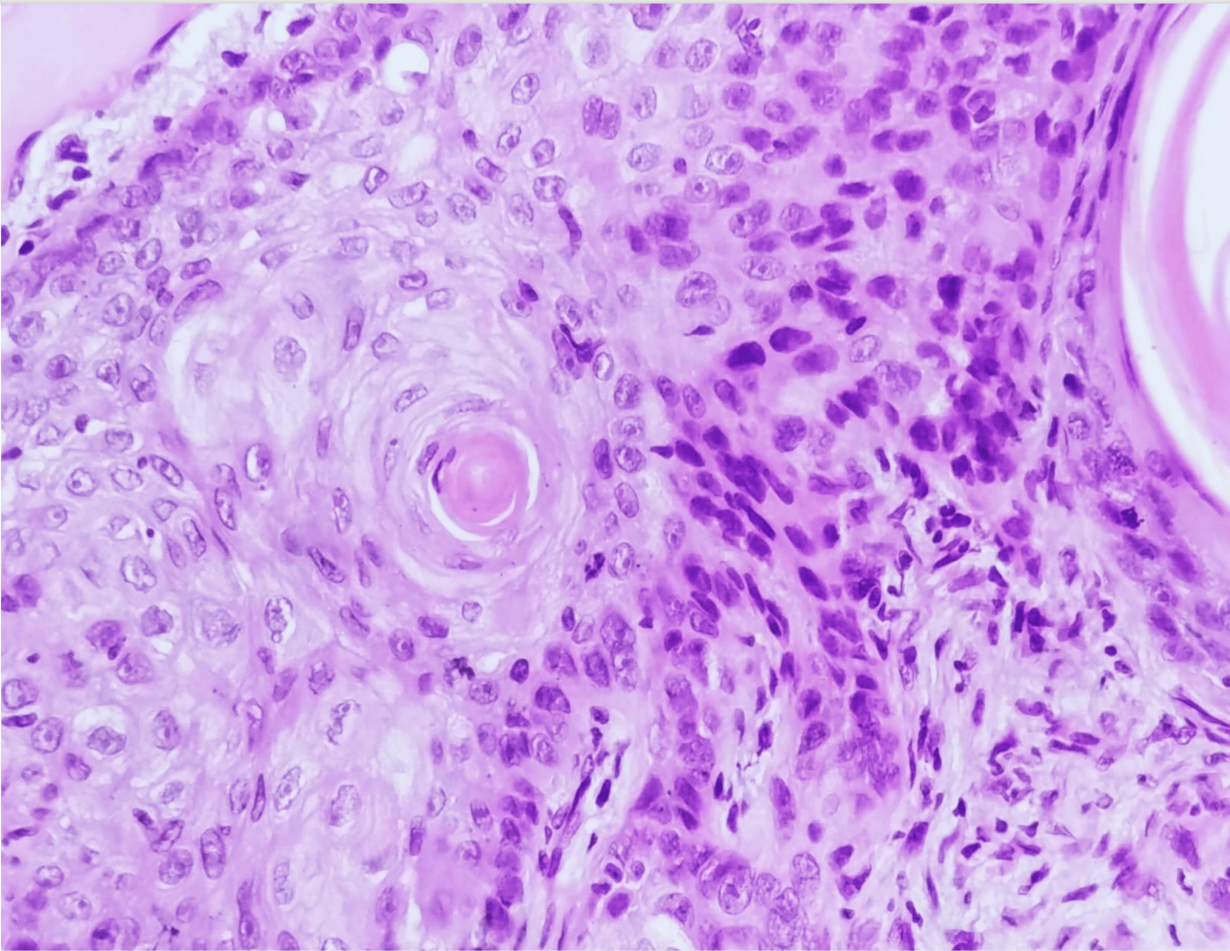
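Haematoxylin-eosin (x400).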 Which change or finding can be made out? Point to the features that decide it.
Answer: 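Left of centre, flattened cells wrap in concentric layers around a round core. The core of the whorl is homogeneous and pink.
Hence: Keratinisation foci.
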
